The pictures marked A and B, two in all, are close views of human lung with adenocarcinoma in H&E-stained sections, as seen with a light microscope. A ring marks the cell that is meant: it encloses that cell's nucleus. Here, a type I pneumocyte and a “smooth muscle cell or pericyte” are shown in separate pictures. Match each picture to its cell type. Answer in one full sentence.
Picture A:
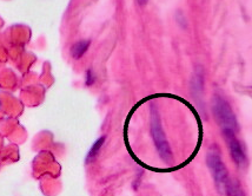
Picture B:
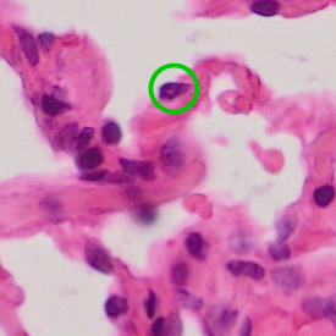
Picture B shows a type I pneumocyte, while picture A shows a “smooth muscle cell or pericyte”.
